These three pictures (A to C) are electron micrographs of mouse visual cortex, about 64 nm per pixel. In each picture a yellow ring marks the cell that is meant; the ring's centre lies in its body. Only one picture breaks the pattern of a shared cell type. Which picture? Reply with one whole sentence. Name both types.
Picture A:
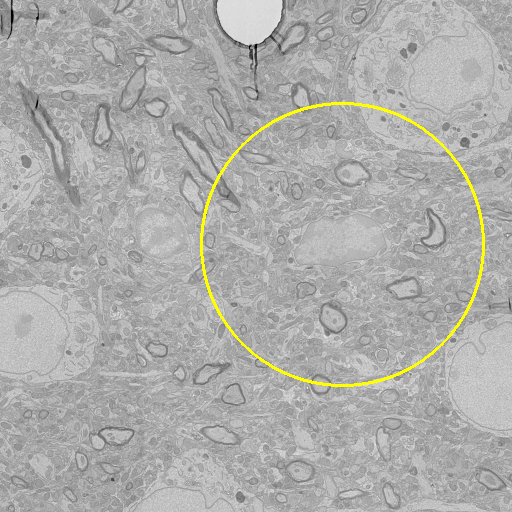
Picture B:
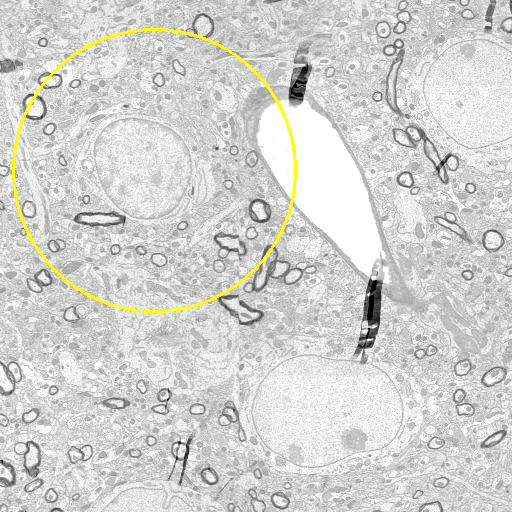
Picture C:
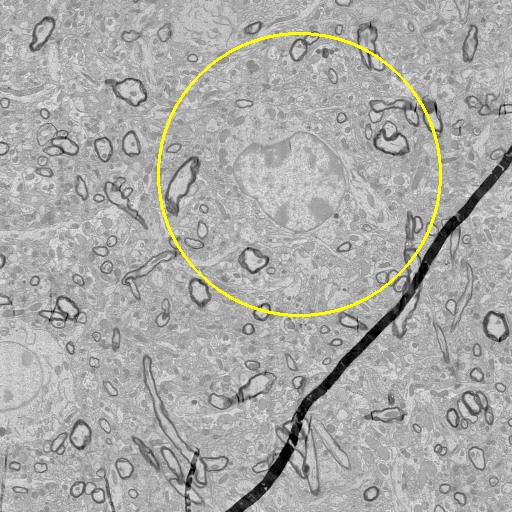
All pictures except A show oligodendrocytes; picture A shows a microglial cell.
